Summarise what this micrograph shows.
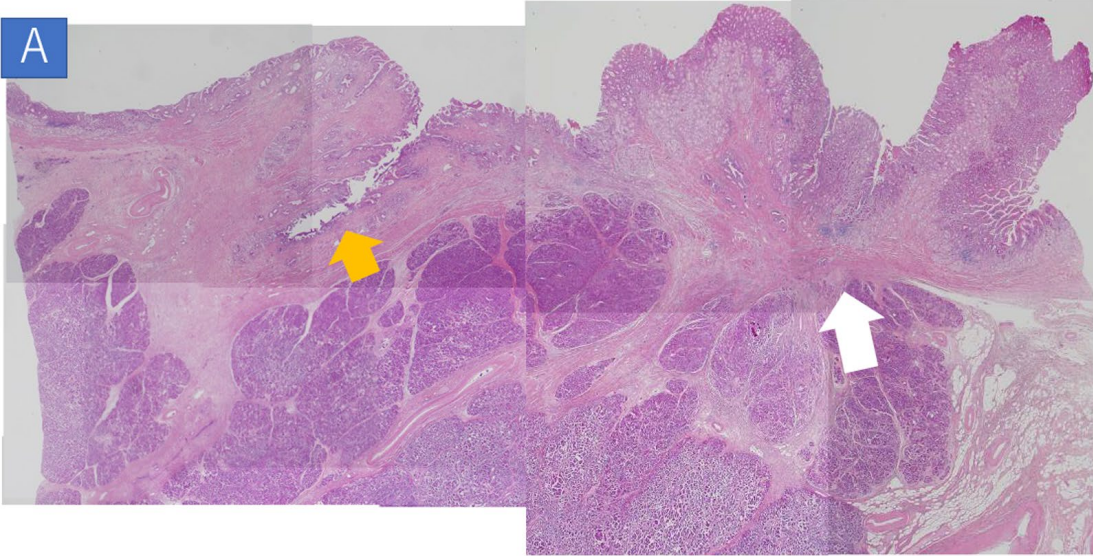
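This is a low-power view of the duodenal wall lying over lobulated glandular tissue, stained pink and purple. Along the top runs the mucosa, folded into fronds lined by glands, with a few small dark-blue clusters of lymphocytes. Beneath it a wide band of pale pink, fibrous tissue replaces much of the normal wall and spreads down between the lobules. Deeper still, the glandular tissue forms rounded purple lobules separated by thin pink septa. A slit-like lumen lined by epithelium sits near the surface at the left, and no crowded, irregular tumour glands are seen in the fibrous band.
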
